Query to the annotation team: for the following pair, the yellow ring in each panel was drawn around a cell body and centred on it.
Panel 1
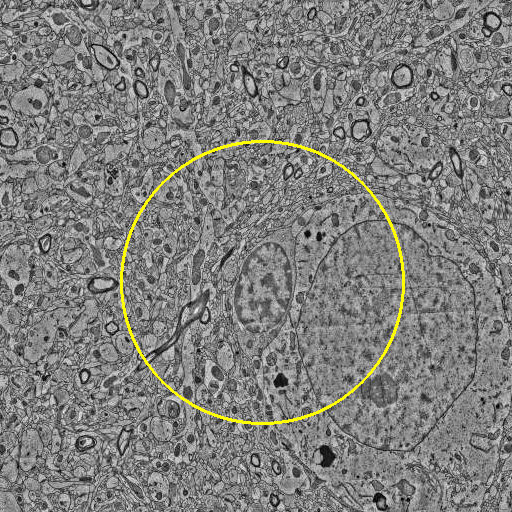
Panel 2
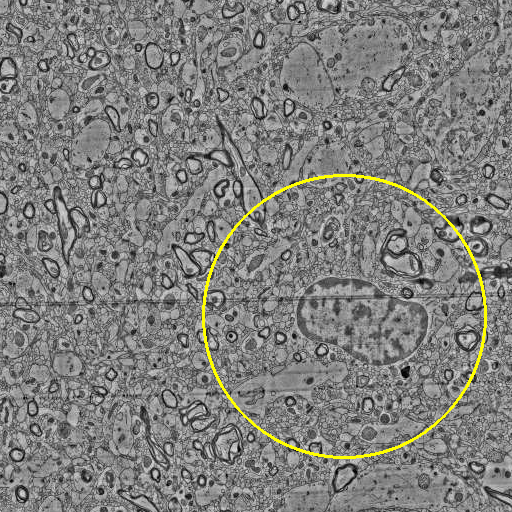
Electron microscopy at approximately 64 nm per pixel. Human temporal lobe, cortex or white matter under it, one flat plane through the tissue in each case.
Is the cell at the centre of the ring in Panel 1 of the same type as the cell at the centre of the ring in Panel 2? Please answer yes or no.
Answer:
no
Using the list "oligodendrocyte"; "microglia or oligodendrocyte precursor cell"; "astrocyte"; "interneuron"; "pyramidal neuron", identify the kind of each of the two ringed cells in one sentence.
The first is an oligodendrocyte and the second is a microglial cell or oligodendrocyte precursor cell.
